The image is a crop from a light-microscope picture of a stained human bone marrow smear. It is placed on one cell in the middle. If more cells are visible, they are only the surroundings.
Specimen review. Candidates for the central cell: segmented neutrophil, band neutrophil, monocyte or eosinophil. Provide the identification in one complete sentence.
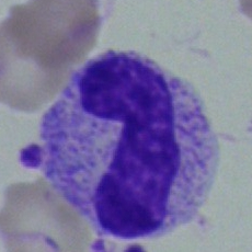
The cell in the middle of this crop is a band neutrophil.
